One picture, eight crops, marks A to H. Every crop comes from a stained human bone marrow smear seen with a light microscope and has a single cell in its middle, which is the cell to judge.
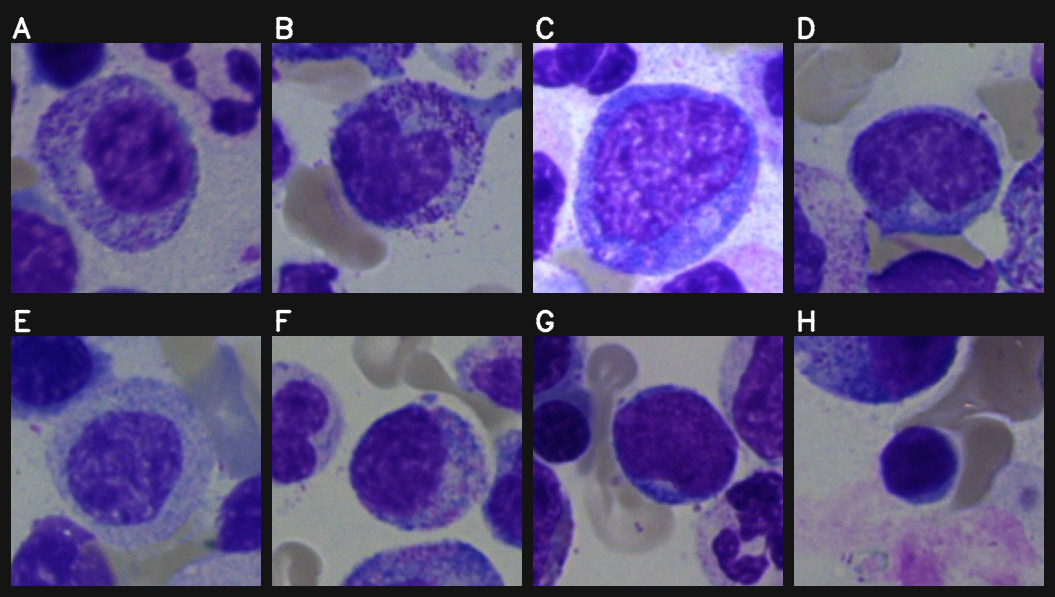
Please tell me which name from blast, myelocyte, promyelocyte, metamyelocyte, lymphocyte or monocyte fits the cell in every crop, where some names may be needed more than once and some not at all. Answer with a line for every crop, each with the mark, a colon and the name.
A: myelocyte
B: metamyelocyte
C: promyelocyte
D: monocyte
E: myelocyte
F: myelocyte
G: lymphocyte
H: lymphocyte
